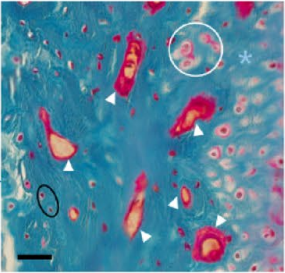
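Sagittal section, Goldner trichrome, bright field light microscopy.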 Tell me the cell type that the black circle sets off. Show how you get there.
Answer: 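Osteocytes. These cells are embedded in the blue-green bone matrix.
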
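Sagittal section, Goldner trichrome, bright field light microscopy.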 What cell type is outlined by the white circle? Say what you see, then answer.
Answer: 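The circle encloses rounded cells sitting in pale lacunae. The cells lie in a lighter matrix on the cartilage side of the image, grouped in small clusters.
Answer: chondrocytes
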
